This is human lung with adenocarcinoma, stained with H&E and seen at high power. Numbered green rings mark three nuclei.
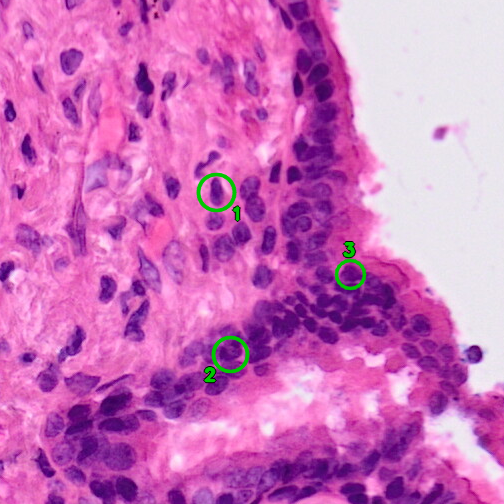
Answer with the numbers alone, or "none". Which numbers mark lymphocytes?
1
